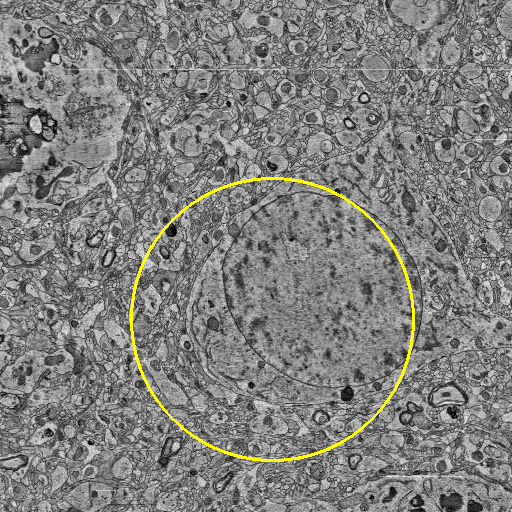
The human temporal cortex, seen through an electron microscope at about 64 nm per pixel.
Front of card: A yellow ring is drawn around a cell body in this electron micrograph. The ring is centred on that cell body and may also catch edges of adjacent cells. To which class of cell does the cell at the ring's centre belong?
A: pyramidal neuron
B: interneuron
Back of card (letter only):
A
